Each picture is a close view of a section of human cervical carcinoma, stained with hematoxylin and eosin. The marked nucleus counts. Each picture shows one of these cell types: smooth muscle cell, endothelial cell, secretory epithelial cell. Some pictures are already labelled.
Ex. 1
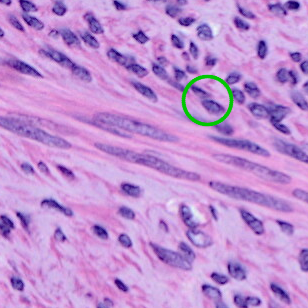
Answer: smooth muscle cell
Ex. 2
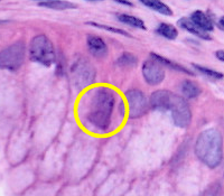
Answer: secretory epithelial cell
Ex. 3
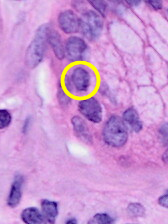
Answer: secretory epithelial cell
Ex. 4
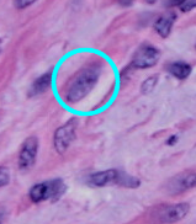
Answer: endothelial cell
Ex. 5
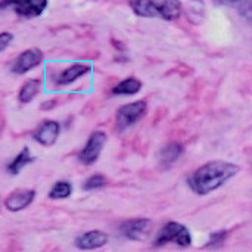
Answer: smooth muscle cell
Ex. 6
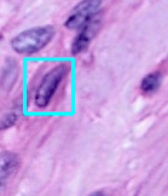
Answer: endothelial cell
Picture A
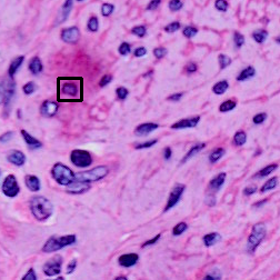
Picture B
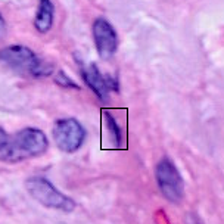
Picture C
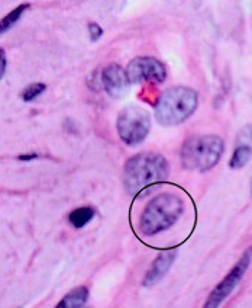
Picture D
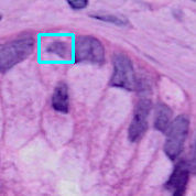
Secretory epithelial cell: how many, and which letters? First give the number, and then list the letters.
1: D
